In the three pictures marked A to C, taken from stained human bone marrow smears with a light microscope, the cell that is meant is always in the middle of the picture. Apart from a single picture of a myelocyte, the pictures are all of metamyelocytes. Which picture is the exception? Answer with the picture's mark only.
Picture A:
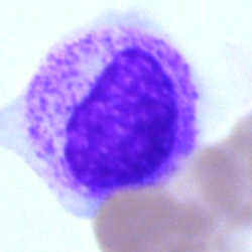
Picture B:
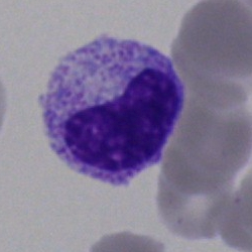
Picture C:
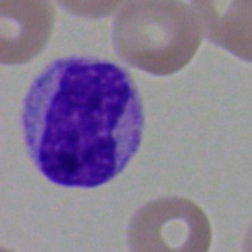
A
